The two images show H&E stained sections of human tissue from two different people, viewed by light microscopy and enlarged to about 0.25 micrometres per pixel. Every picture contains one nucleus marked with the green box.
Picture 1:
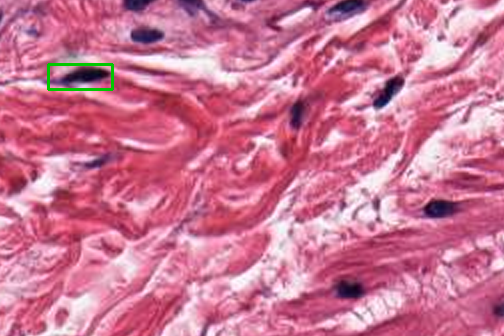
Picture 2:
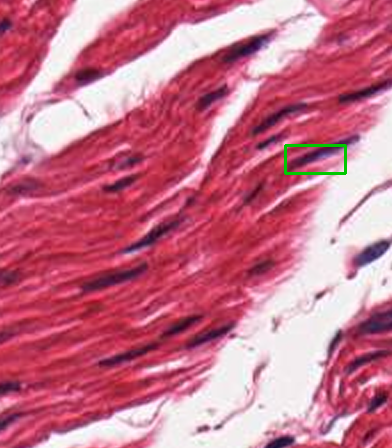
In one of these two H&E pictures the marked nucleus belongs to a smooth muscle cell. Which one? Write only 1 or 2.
2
